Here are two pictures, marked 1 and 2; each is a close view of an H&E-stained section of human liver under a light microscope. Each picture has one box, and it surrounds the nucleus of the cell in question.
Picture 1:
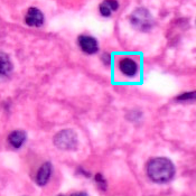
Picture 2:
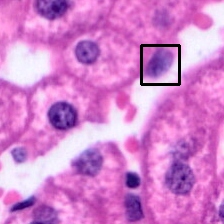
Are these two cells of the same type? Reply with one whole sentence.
No. Picture 1 shows a lymphocyte, but picture 2 shows an endothelial cell.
